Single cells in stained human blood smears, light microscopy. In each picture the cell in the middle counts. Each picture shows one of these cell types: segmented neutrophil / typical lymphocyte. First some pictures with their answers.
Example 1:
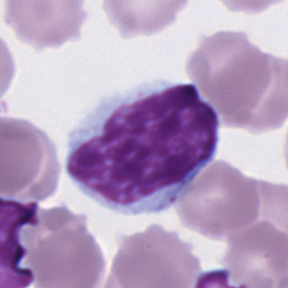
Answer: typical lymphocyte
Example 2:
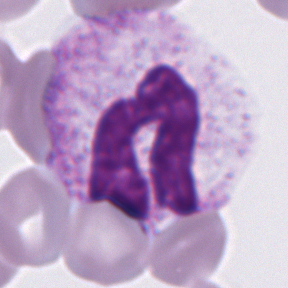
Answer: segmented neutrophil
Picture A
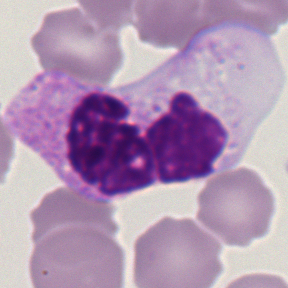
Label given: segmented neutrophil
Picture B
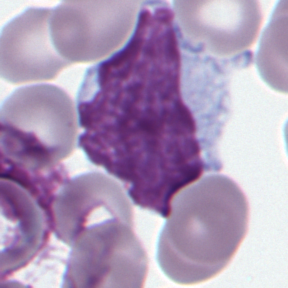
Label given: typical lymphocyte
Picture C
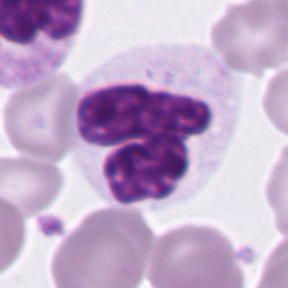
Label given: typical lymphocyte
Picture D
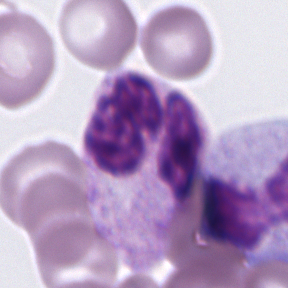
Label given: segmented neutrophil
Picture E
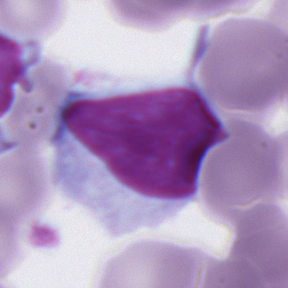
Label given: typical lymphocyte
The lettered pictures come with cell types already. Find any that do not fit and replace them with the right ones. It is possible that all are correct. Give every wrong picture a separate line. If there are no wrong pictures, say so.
C is labelled typical lymphocyte; correct label: segmented neutrophil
